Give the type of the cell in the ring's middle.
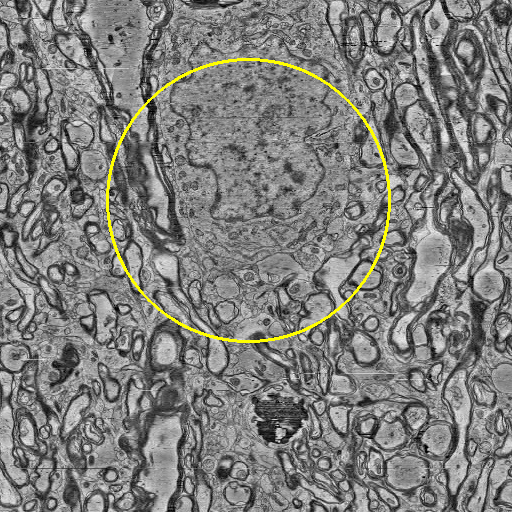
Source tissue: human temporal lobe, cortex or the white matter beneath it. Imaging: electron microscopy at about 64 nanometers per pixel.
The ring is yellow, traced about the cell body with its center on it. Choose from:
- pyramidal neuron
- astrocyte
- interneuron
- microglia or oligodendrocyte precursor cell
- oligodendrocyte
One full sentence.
Here, an interneuron is the cell lying at the center of the yellow ring.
